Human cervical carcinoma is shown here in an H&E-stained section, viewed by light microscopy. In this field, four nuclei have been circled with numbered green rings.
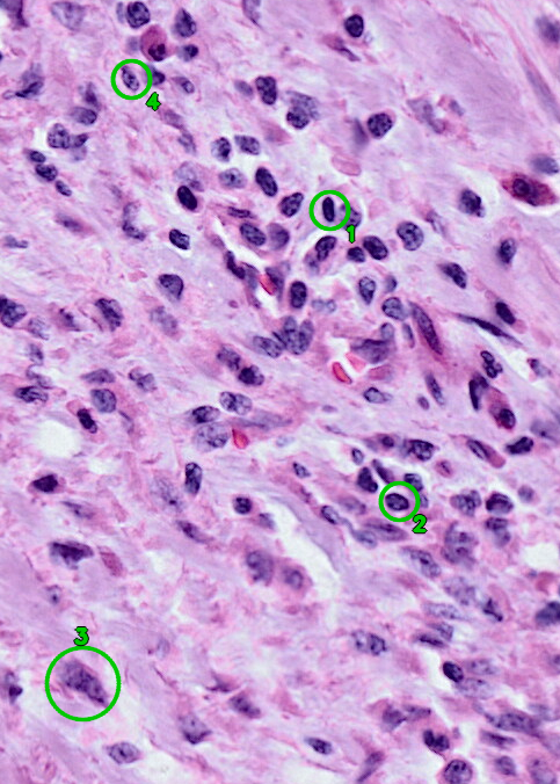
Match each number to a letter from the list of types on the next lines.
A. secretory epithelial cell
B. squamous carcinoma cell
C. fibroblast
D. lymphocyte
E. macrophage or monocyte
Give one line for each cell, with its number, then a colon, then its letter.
1: D
2: D
3: E
4: D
